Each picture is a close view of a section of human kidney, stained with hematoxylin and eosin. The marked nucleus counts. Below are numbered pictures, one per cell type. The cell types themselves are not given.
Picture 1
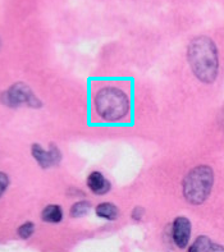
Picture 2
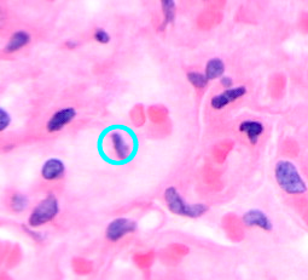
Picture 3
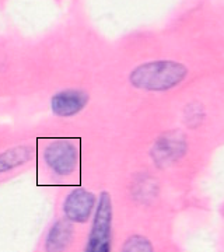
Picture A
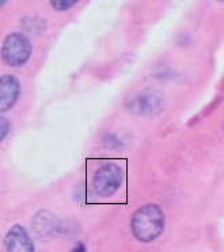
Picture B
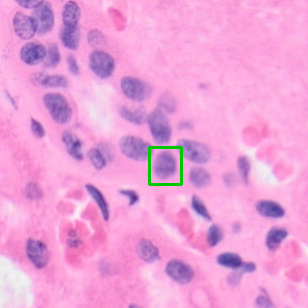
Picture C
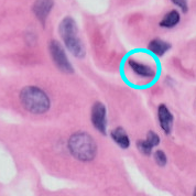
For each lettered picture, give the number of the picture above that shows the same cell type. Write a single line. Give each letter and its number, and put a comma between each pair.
A 3, B 3, C 2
